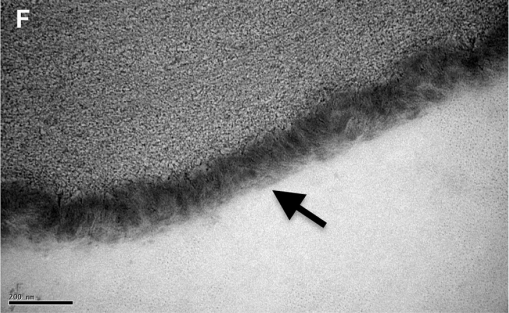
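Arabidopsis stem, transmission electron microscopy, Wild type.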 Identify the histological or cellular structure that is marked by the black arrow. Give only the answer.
Cuticle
